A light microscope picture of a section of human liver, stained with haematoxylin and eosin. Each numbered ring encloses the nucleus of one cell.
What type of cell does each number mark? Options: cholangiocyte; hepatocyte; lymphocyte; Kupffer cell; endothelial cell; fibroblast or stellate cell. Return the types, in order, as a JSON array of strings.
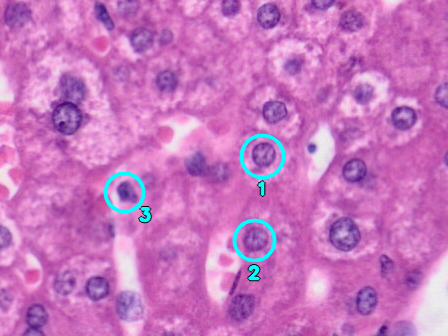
["hepatocyte", "hepatocyte", "lymphocyte"]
